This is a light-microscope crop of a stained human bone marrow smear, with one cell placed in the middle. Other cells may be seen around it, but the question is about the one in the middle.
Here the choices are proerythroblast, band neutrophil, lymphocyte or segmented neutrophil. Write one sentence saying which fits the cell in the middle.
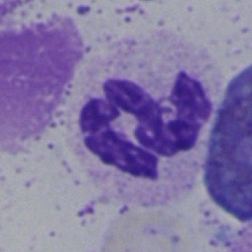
The cell around which this crop is centred is a segmented neutrophil.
